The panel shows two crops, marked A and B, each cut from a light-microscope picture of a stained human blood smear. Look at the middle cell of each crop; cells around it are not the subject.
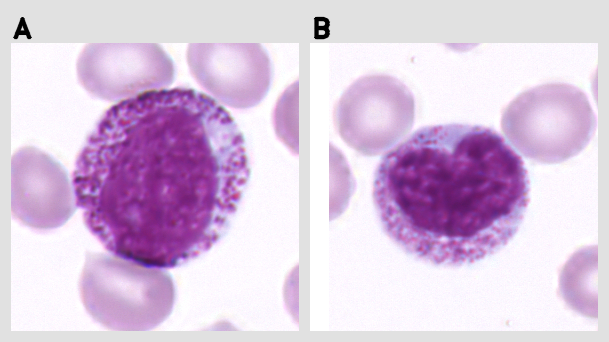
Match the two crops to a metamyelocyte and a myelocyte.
A: myelocyte
B: metamyelocyte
